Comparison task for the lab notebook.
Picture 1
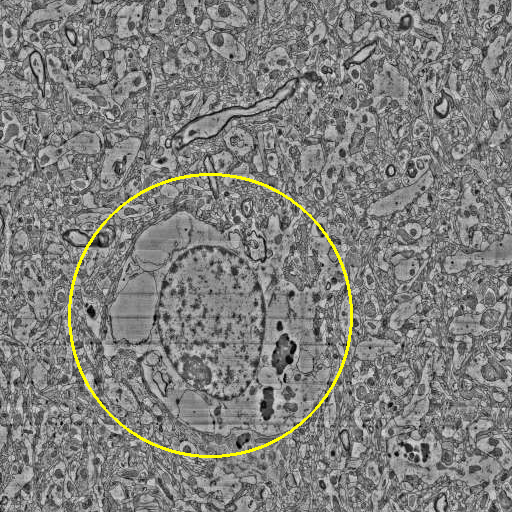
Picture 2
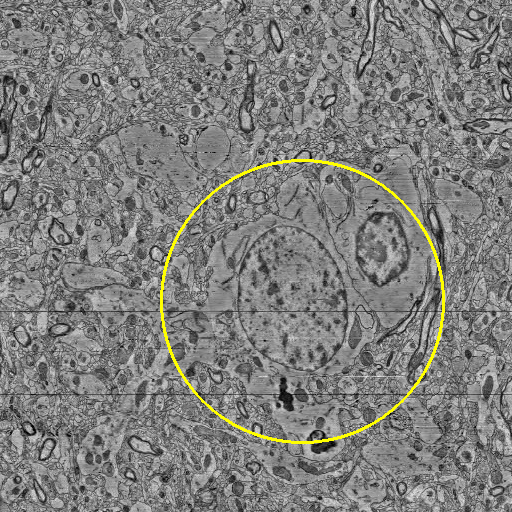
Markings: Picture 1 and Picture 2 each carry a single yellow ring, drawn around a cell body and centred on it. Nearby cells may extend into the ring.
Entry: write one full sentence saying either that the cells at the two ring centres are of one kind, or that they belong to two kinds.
The cells sitting at the ring centres in Picture 1 and Picture 2 are of one kind.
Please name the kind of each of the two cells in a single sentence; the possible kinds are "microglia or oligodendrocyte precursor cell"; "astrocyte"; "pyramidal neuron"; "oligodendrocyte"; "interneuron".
Both pictures show an astrocyte at the centre of the ring.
